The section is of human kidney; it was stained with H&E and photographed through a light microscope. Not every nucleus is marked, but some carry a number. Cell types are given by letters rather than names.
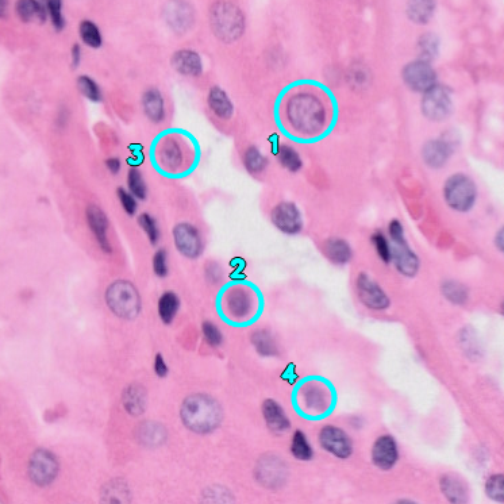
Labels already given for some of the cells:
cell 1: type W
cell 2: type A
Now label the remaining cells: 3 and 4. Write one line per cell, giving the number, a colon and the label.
3: type A
4: type A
